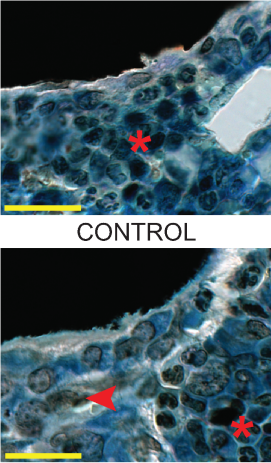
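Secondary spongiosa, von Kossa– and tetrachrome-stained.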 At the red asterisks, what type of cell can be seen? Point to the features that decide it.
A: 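The asterisks lie among densely packed round cells with dark blue nuclei. On this evidence: Marrow elements.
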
